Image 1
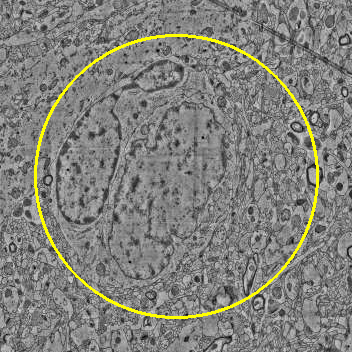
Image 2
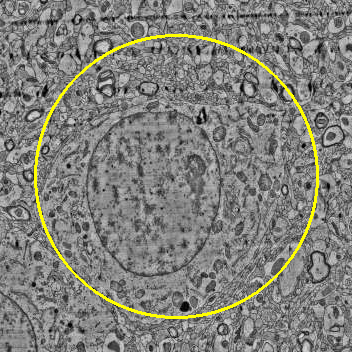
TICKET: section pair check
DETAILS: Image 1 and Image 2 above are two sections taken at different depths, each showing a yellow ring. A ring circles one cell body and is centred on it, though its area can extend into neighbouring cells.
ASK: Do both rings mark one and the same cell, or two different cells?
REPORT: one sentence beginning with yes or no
No, two distinct cells are each enclosed by a yellow ring.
